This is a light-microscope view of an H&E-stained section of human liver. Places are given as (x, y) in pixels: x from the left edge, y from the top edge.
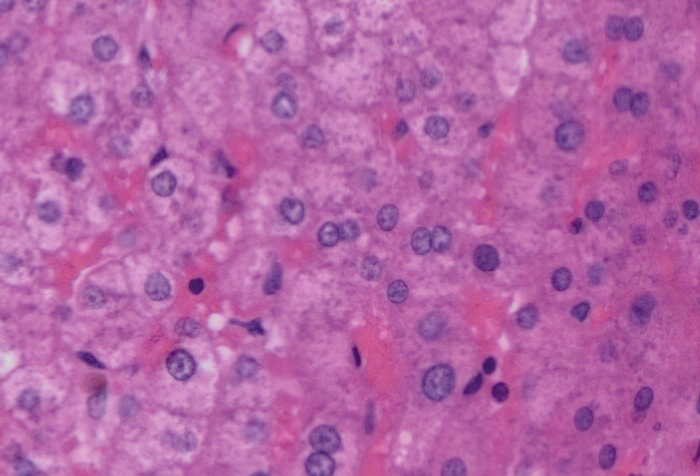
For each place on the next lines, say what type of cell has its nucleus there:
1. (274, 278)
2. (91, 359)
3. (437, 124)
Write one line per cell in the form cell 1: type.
cell 1: fibroblast or stellate cell
cell 2: fibroblast or stellate cell
cell 3: hepatocyte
